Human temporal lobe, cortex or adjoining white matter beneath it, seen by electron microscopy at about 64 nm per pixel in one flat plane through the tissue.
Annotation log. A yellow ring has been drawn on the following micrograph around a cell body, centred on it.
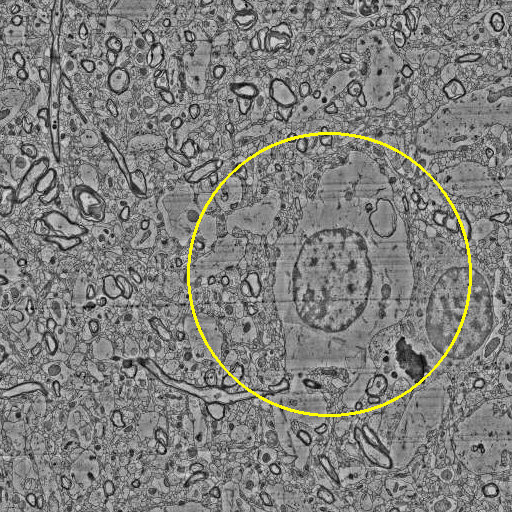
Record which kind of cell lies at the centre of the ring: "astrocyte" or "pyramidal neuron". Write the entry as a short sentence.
The cell the ring is centred on is an astrocyte.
